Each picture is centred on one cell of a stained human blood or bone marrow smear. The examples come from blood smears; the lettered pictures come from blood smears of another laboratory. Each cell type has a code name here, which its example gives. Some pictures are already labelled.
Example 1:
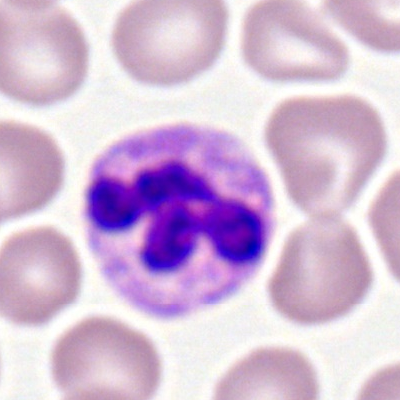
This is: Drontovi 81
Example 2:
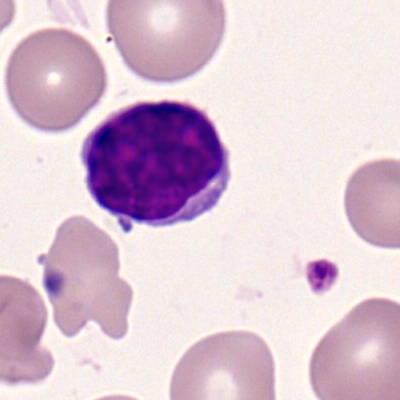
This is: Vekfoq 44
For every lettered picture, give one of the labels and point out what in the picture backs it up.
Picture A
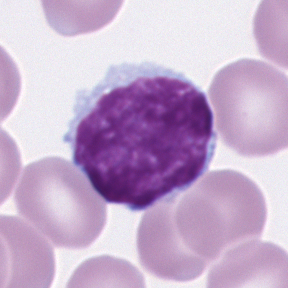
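Label: Vekfoq 44. The cytoplasm is a scant pale blue rim that is widest at the upper left.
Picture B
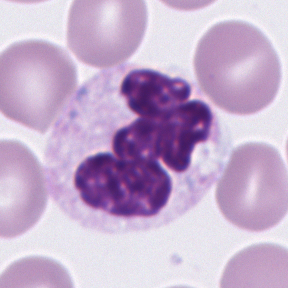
Label: Drontovi 81. The nucleus is divided into several connected lobes.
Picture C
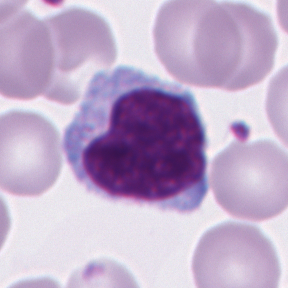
Label: Vekfoq 44. The nucleus has a notch on its upper left side, giving it a broadly bean-like shape.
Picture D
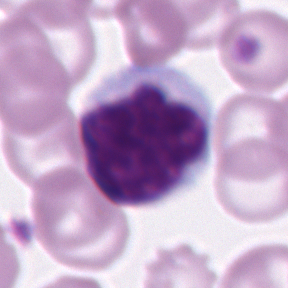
Label: Vekfoq 44. Only a narrow rim of pale blue cytoplasm surrounds the nucleus.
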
